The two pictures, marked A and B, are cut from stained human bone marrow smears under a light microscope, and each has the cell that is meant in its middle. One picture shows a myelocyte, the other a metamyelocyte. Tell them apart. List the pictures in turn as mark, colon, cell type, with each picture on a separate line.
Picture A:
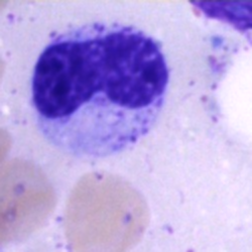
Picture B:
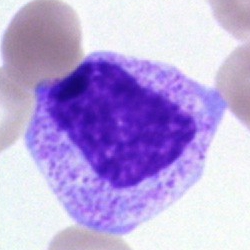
A: metamyelocyte
B: myelocyte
